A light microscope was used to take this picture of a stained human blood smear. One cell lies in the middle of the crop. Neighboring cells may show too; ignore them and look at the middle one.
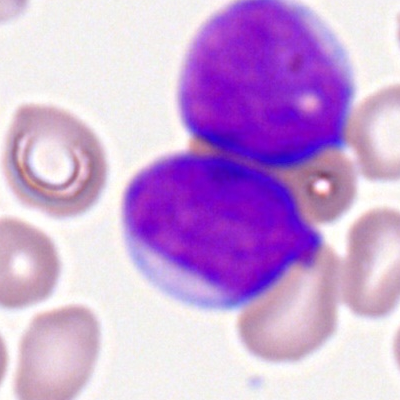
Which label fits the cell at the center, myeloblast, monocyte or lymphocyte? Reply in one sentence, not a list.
The centrally positioned cell in the crop represents a myeloblast.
